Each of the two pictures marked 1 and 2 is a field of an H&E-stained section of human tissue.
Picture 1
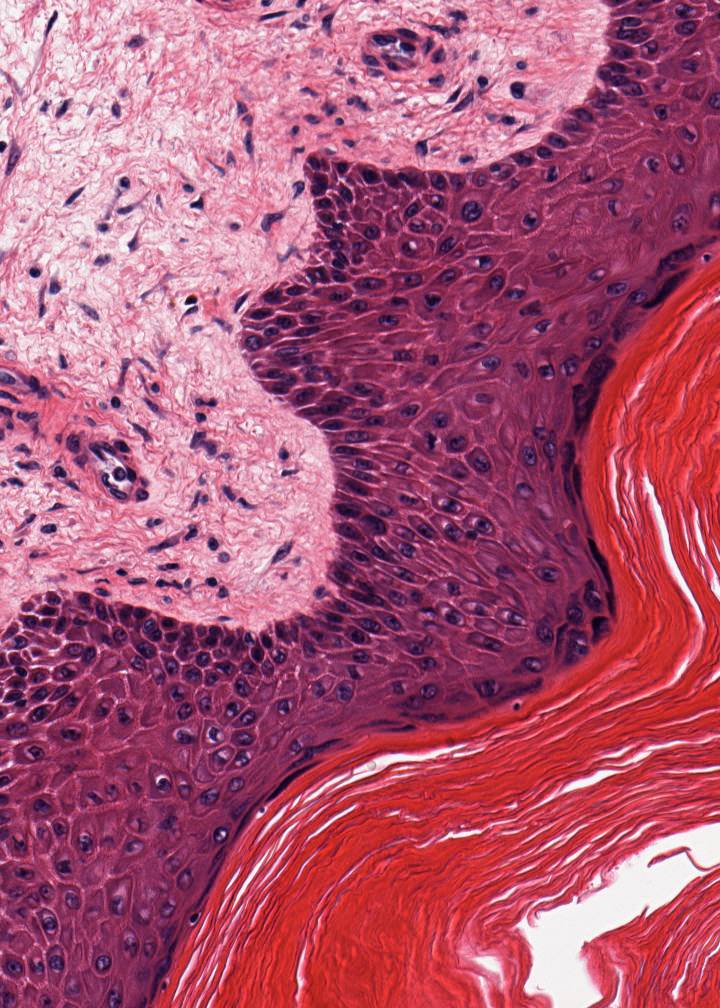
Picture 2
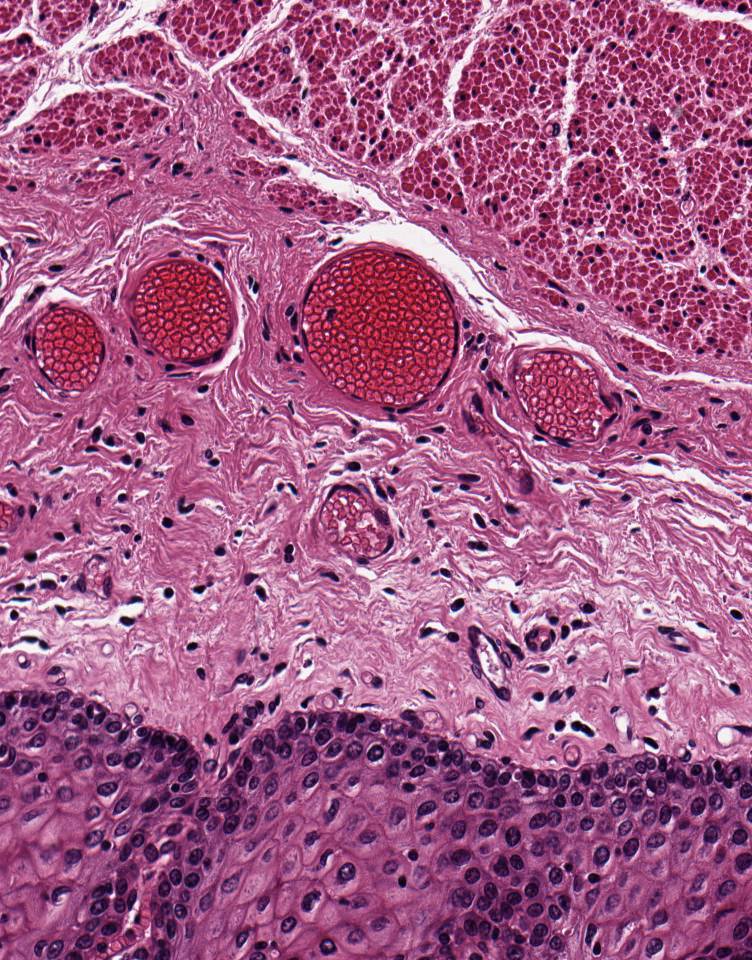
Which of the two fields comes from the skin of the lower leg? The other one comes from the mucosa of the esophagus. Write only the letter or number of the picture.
1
